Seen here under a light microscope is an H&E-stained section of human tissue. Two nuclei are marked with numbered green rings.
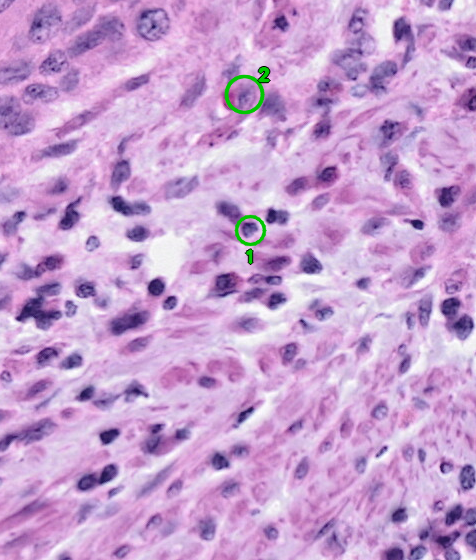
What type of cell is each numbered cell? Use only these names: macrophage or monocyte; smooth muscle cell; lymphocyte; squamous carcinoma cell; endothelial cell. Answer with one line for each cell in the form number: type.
1: lymphocyte
2: endothelial cell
